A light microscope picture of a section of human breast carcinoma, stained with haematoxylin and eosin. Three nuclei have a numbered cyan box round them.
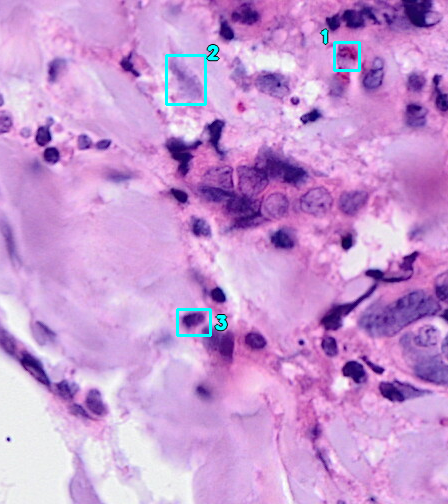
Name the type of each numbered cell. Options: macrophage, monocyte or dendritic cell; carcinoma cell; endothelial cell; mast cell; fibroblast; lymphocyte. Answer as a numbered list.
1. endothelial cell
2. fibroblast
3. lymphocyte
